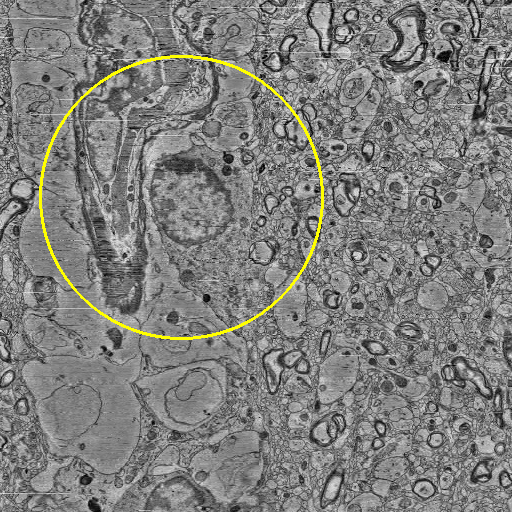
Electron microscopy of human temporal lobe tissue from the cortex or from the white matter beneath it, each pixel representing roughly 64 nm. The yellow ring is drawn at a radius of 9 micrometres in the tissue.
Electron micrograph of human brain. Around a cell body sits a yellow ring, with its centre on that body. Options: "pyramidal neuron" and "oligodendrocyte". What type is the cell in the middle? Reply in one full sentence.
The cell sitting at the centre of the yellow ring is an oligodendrocyte.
